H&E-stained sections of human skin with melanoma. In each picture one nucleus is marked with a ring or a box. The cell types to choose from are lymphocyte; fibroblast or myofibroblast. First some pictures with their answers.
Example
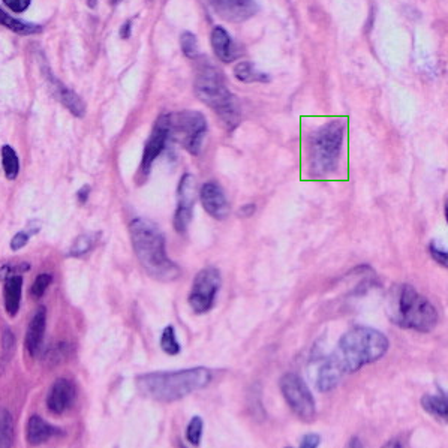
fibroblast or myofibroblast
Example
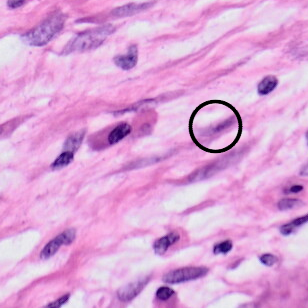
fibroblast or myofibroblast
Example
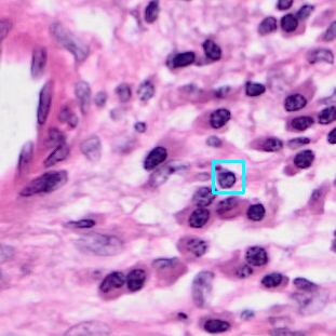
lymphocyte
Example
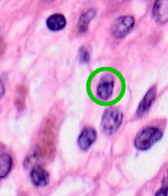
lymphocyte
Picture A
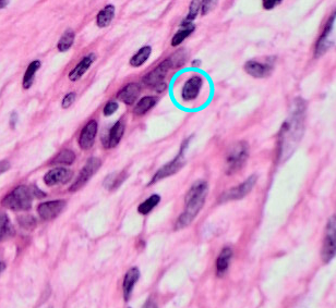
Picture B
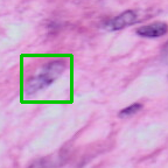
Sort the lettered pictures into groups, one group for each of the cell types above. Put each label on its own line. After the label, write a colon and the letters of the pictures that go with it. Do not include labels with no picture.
lymphocyte: A
fibroblast or myofibroblast: B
